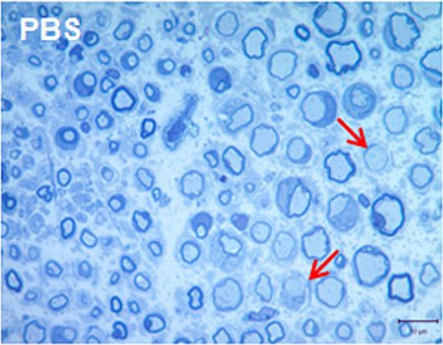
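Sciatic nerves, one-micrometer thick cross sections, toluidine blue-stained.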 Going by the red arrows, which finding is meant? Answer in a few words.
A: Thinly myelinated and naked axons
